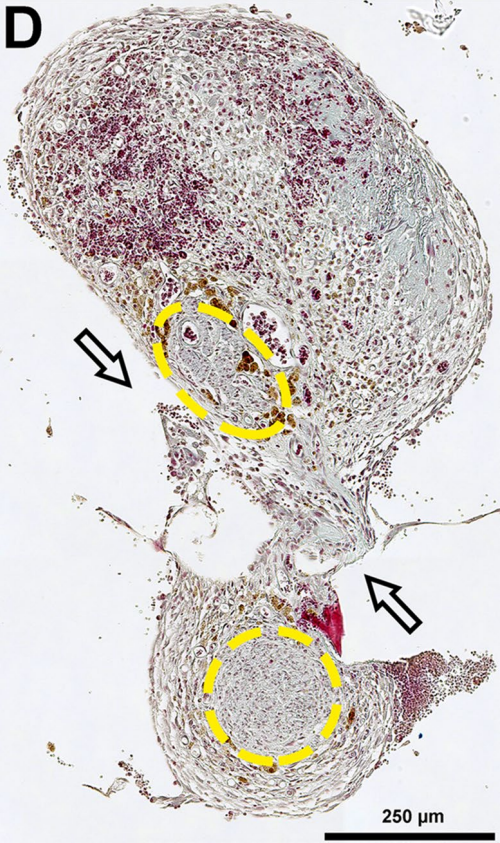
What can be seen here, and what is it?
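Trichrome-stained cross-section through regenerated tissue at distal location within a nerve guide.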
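The upper mass contains broad zones crowded with small reddish-purple cells, pale grey-green fibrous areas, and a small compact pale region with scattered brown granules near its lower edge. The lower mass has a compact pale central area ringed by layered fibrous tissue with elongated nuclei. Brown pigment deposits, free reddish-purple cells outside the tissue and a small bright red fragment lie near the gap between the strands.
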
